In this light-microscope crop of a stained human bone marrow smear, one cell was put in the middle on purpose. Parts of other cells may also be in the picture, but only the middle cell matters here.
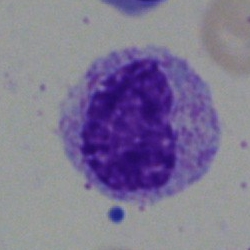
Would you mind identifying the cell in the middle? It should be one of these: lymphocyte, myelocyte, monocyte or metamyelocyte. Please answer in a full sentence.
Occupying the centre of the crop is a metamyelocyte.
